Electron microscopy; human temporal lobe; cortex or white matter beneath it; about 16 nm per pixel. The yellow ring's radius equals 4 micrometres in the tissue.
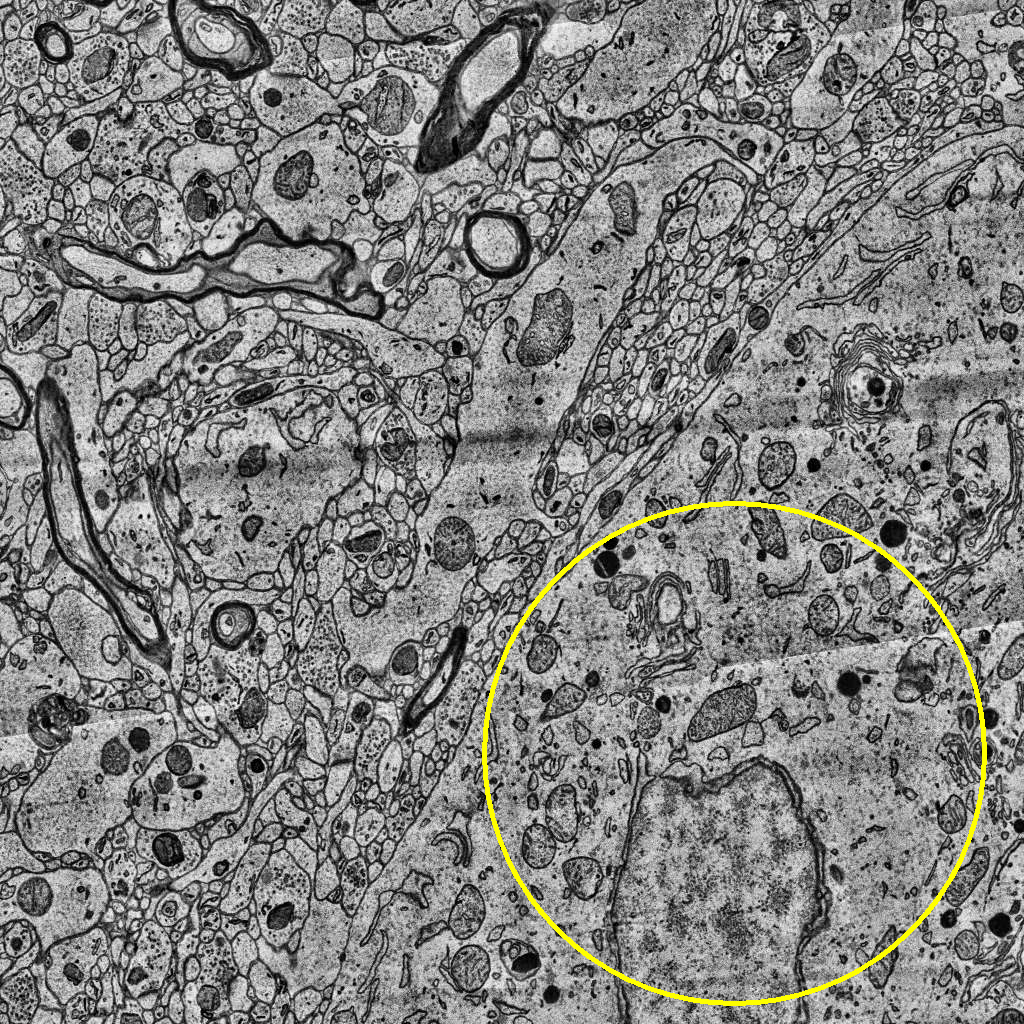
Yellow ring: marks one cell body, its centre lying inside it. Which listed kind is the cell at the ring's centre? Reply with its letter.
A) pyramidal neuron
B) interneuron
A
